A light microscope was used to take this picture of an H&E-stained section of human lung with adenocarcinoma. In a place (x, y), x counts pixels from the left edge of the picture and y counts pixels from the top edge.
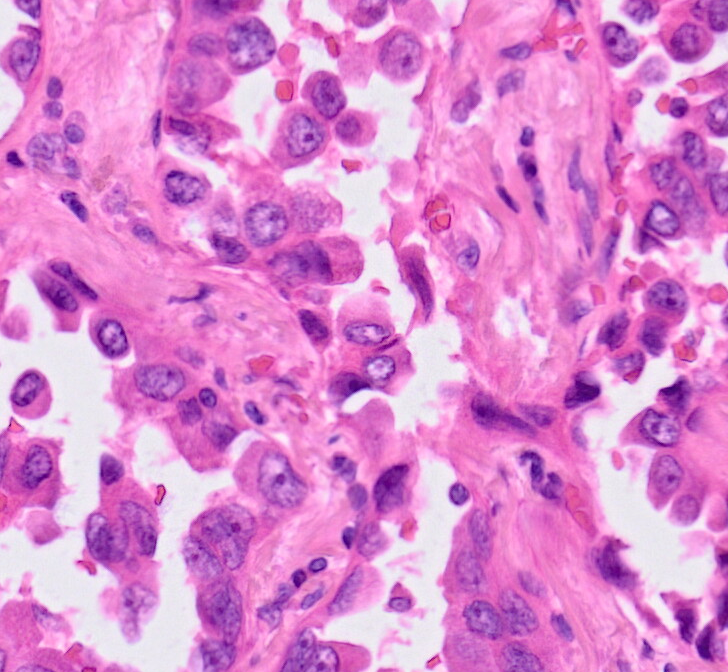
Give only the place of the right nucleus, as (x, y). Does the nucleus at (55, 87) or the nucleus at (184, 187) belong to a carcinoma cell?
(184, 187)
